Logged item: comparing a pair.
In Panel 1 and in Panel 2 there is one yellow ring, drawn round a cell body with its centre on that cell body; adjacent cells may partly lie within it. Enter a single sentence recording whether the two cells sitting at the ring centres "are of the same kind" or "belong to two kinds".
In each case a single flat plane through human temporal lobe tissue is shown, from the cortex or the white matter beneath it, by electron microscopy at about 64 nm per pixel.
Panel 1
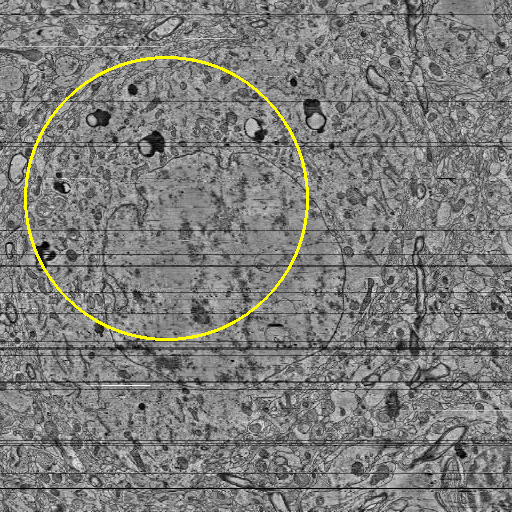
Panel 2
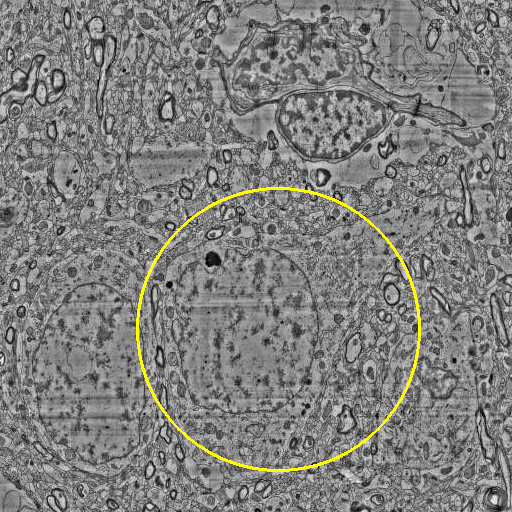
Logged: the cells centred in the rings of Panel 1 and Panel 2 are of the same kind.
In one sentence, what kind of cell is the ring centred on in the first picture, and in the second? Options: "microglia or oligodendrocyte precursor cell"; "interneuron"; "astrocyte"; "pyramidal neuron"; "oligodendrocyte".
Each cell, in the first picture and the second, is a pyramidal neuron.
